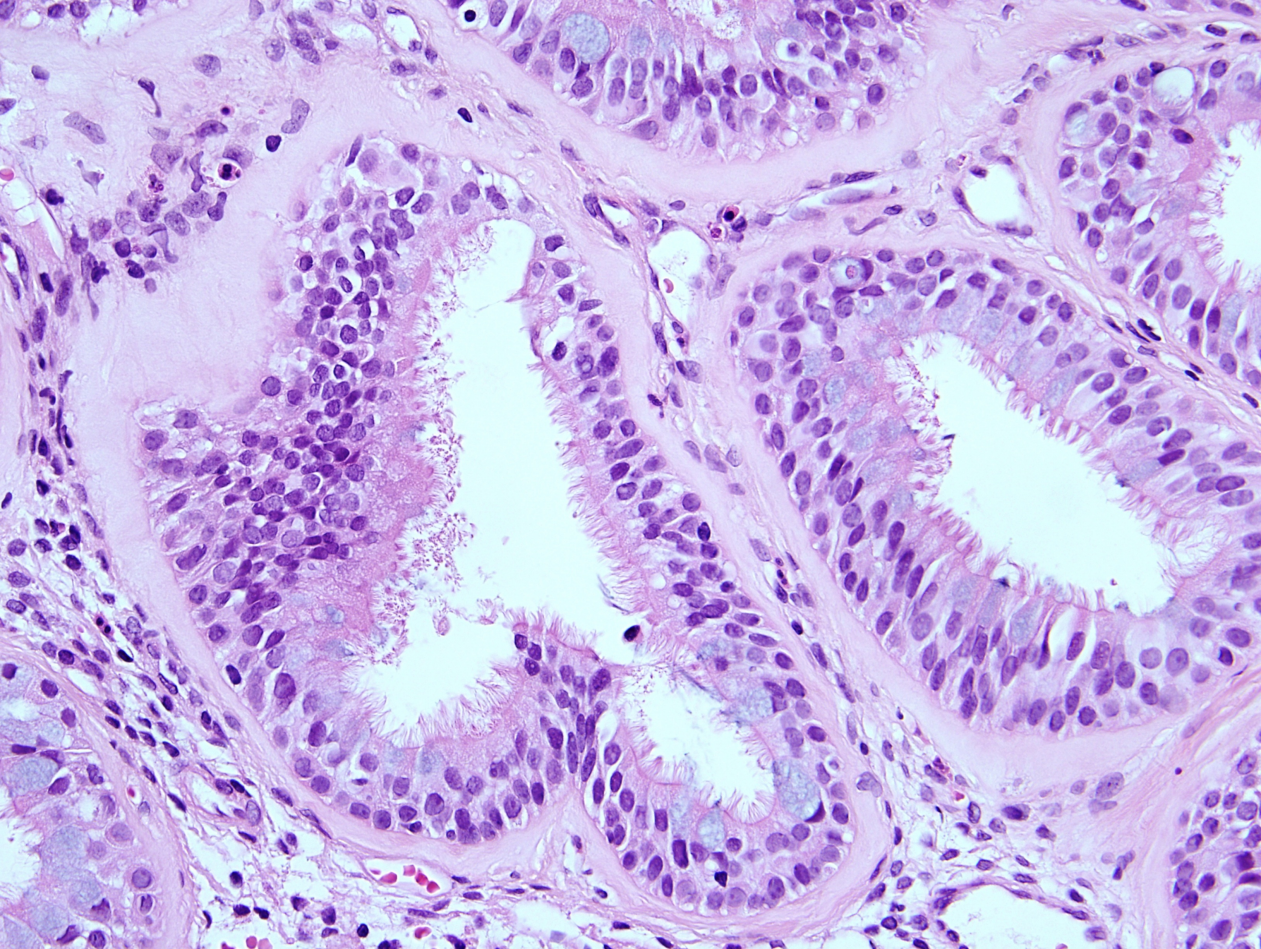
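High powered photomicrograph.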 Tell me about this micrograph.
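Glandular spaces are lined by multi-layered ciliated epithelium, with oval nuclei stacked in several rows and a fringe of fine cilia along the luminal border. Scattered goblet-like cells with pale blue-grey mucinous cytoplasm sit within the lining. Each gland is wrapped by a thick, homogeneous, glassy pink band at the base of the epithelium, markedly wider than a normal basement membrane. Between the glands lies loose stroma with spindle cells, small vessels and a few inflammatory cells.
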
